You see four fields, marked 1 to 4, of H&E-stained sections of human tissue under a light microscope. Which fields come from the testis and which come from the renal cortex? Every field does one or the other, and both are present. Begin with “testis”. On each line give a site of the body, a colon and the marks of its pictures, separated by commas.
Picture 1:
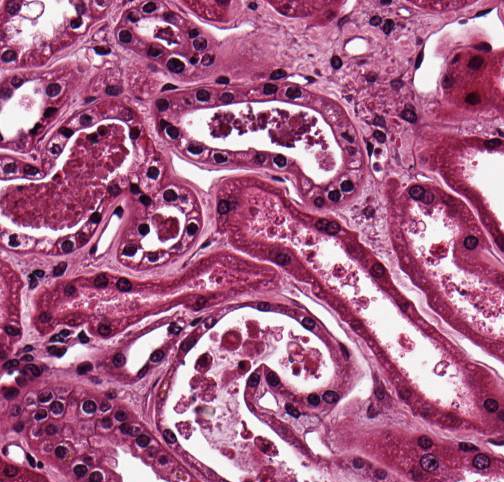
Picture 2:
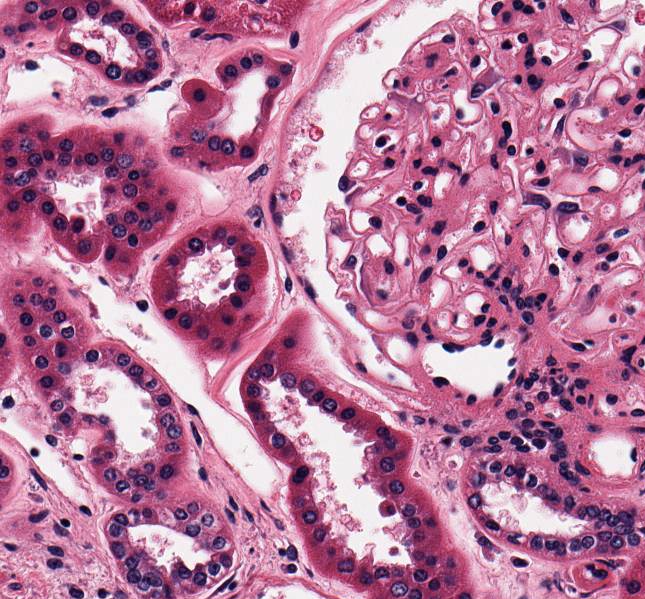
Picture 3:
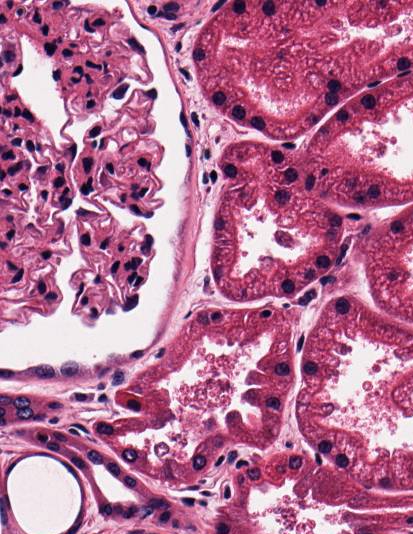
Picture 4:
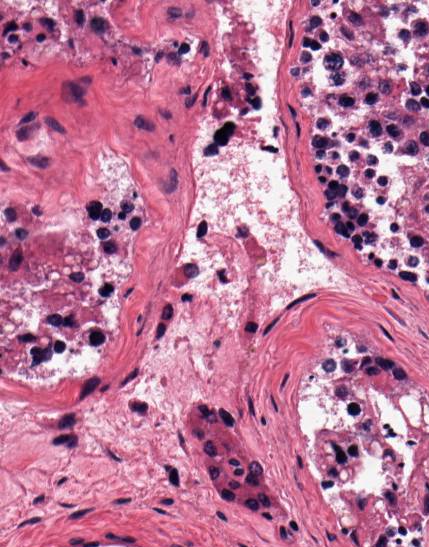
testis: 4
renal cortex: 1, 2, 3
